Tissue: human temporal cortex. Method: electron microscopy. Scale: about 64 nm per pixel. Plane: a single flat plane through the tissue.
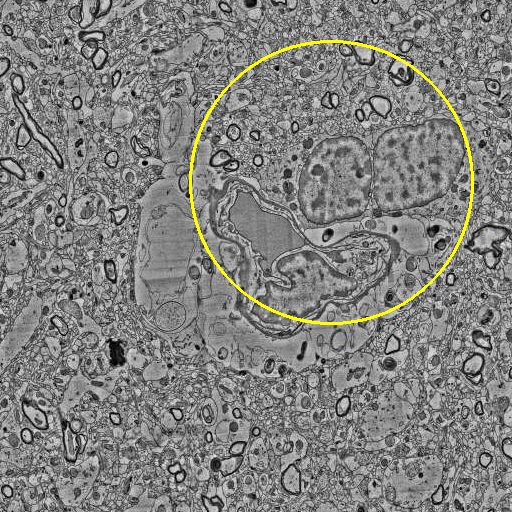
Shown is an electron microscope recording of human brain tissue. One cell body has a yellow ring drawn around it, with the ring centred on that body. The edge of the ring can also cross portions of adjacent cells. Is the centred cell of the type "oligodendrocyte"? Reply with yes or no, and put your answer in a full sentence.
Yes, in the picture, the cell on which the ring is centred has this type.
